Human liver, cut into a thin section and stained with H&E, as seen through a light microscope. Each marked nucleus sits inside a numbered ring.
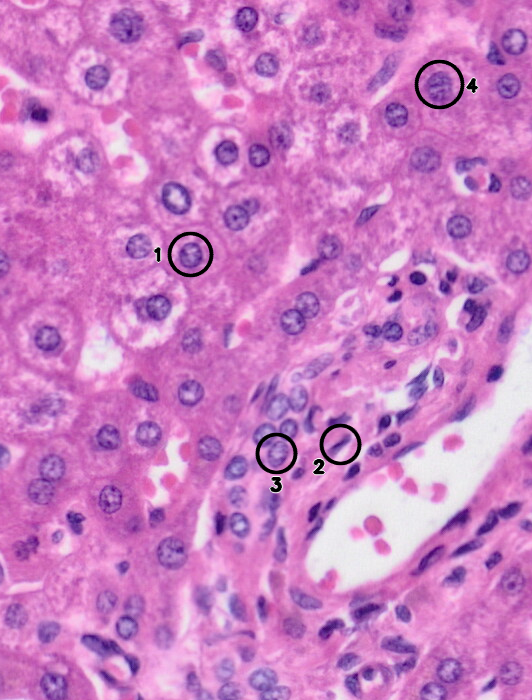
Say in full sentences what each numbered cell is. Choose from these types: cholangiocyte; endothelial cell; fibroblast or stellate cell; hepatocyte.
Cells 1 and 4 are hepatocytes. Cell 2 is a fibroblast or stellate cell. Cell 3 is a cholangiocyte.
